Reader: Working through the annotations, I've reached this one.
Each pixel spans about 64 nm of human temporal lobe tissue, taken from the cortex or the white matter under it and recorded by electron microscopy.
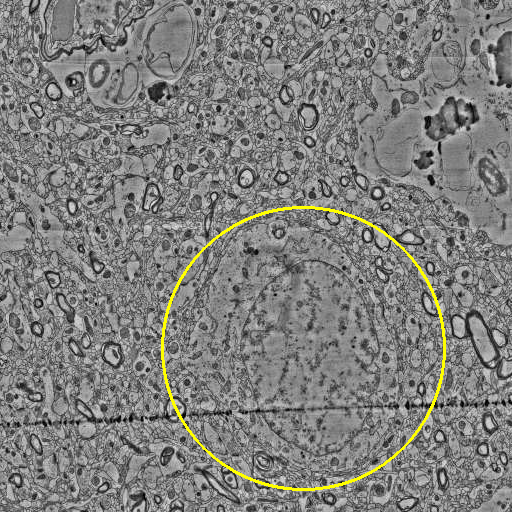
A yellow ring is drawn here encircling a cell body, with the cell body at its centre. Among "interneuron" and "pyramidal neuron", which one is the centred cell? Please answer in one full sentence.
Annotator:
The cell body at the centre of the yellow ring in this image belongs to an interneuron.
